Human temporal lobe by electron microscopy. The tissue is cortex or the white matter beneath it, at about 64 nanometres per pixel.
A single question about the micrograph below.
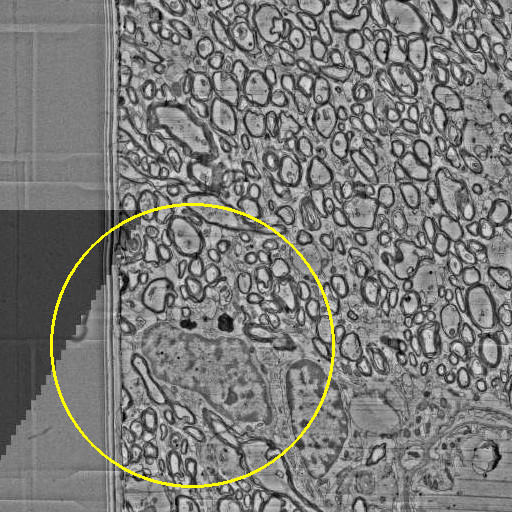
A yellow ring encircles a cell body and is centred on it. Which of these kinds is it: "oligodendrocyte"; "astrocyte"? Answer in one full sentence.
The cell body at the centre of the yellow ring belongs to an oligodendrocyte.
